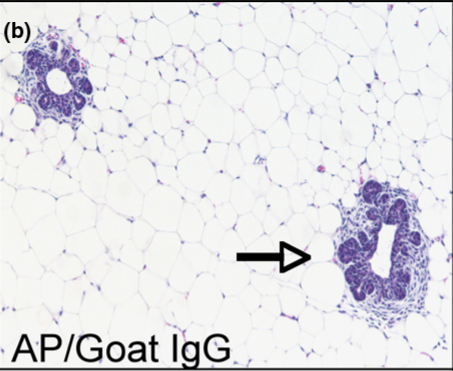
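Two epithelial structures are seen: one at upper left and a larger duct at lower right. The larger duct has a lumen lined by densely packed, dark purple epithelial cells that form several rounded outpouchings projecting from the wall, giving a lobulated, budding outline. Around both structures lies a collar of paler stroma containing many elongated nuclei, separating the epithelium from the surrounding fat.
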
